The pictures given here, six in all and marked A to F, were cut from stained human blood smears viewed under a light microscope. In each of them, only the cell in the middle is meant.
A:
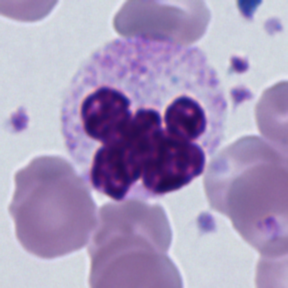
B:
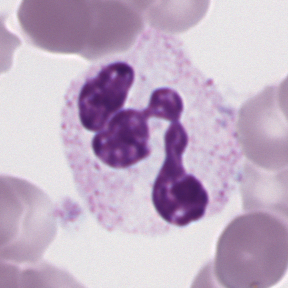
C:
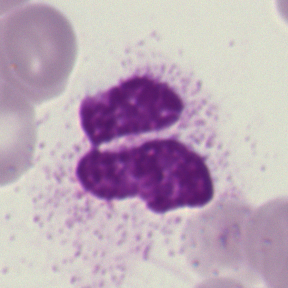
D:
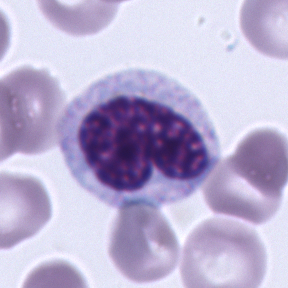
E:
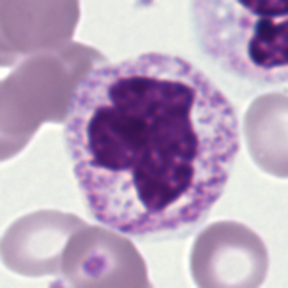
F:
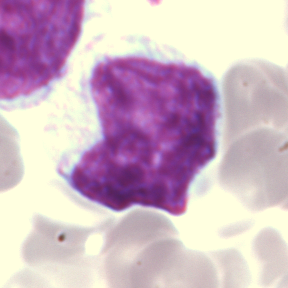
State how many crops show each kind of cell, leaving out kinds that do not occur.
segmented neutrophil: 4
band neutrophil: 2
